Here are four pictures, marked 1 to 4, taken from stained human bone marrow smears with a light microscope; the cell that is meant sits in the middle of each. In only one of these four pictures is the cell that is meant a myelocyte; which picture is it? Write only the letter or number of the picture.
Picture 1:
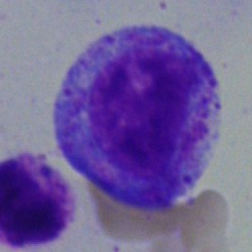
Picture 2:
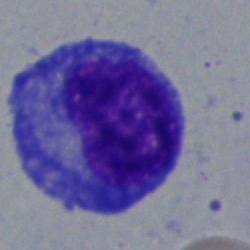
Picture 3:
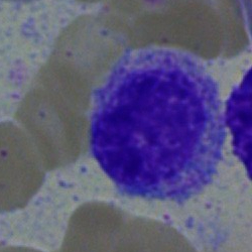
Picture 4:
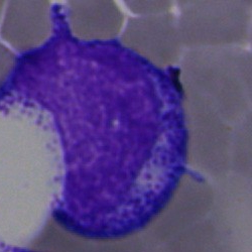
3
